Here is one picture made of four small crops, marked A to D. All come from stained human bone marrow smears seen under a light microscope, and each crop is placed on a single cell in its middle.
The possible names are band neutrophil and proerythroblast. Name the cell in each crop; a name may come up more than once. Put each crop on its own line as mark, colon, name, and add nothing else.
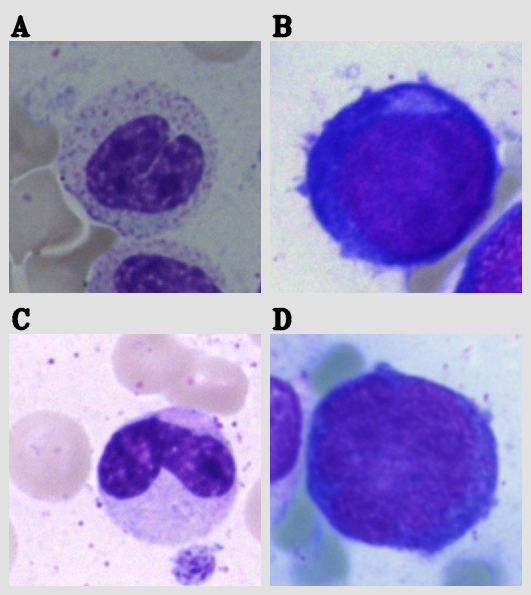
A: band neutrophil
B: proerythroblast
C: band neutrophil
D: proerythroblast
